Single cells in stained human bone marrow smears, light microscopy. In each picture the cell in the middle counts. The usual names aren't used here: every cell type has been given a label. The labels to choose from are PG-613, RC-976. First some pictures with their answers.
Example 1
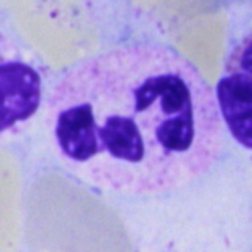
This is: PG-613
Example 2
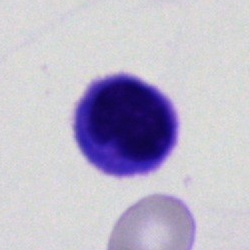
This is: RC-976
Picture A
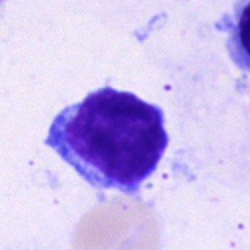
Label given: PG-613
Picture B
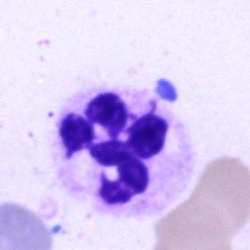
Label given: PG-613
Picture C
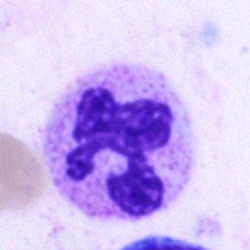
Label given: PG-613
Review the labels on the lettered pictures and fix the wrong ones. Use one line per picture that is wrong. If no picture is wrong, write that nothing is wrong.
A: not PG-613 but RC-976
